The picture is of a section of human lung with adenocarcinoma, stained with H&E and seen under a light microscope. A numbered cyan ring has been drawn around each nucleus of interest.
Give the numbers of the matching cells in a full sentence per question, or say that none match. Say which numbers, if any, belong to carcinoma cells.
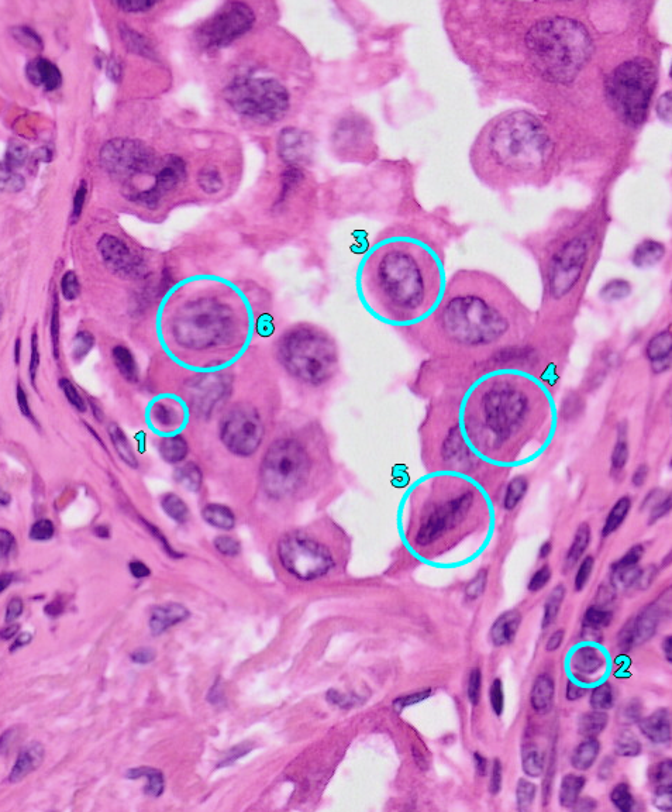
The cells whose numbers are 3, 4, 5 and 6 are carcinoma cells.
